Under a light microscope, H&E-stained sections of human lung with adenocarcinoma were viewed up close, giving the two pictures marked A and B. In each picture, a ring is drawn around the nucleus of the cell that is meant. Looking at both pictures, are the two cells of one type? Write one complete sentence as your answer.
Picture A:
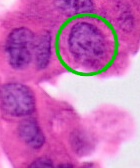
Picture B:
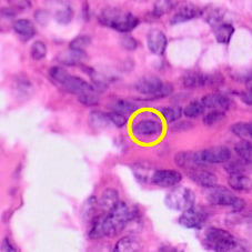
No; the cell in picture A is a carcinoma cell, while the one in picture B is a ciliated epithelial cell.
